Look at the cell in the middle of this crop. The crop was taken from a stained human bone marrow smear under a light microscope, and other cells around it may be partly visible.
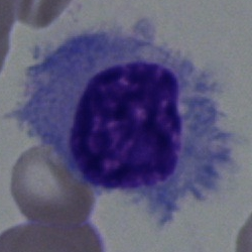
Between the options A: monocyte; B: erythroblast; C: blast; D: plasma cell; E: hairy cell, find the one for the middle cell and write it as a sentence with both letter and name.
Option E is the correct selection, for the cell at the centre is a hairy cell.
